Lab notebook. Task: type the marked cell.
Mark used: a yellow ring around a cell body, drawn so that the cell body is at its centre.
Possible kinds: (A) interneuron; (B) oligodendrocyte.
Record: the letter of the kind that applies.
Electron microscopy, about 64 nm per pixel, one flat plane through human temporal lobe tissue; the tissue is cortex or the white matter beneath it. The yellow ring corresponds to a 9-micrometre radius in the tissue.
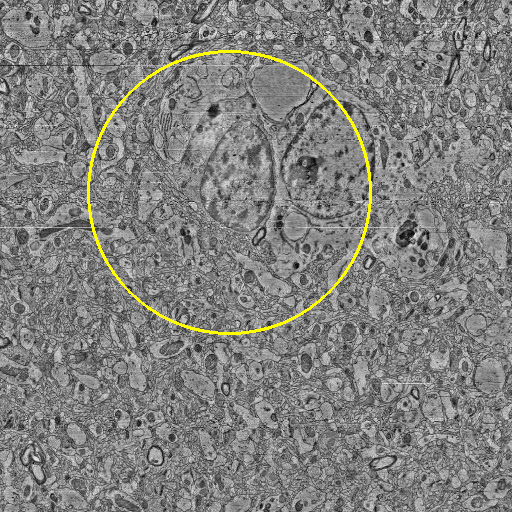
B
